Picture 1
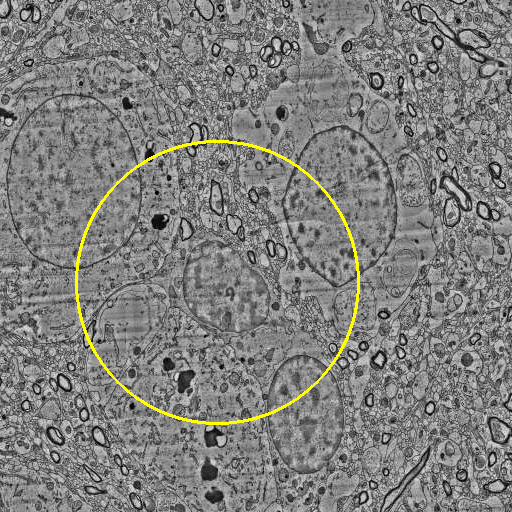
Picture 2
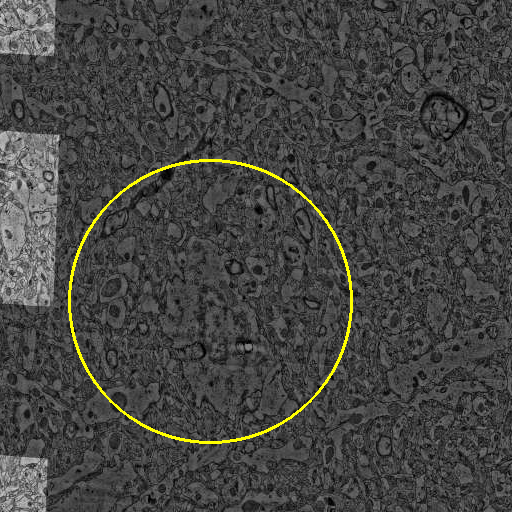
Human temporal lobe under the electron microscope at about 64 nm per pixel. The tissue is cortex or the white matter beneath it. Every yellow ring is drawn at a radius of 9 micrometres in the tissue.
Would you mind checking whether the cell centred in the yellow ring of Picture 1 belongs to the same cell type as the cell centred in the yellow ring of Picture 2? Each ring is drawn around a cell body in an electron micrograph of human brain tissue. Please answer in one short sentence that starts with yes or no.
No, the two cells are of two types.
